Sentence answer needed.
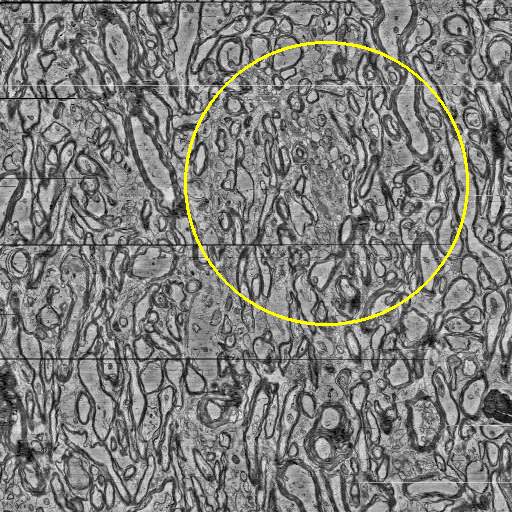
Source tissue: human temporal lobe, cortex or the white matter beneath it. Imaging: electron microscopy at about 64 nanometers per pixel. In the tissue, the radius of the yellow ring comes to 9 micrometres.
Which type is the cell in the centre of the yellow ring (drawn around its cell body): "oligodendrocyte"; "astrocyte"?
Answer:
In the centre of the yellow ring is an astrocyte.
